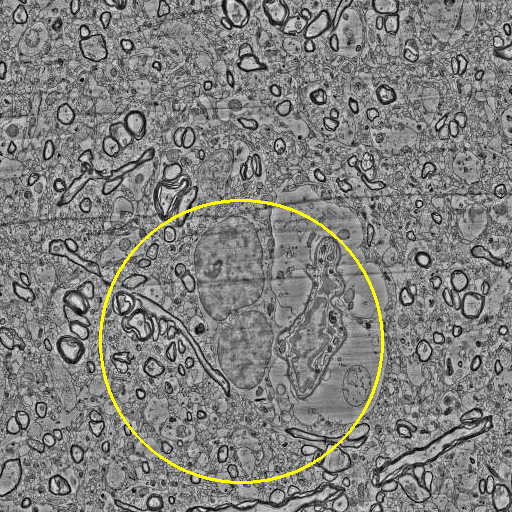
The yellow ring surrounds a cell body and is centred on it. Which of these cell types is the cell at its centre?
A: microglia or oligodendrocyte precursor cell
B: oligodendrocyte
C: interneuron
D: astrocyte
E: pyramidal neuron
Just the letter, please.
B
